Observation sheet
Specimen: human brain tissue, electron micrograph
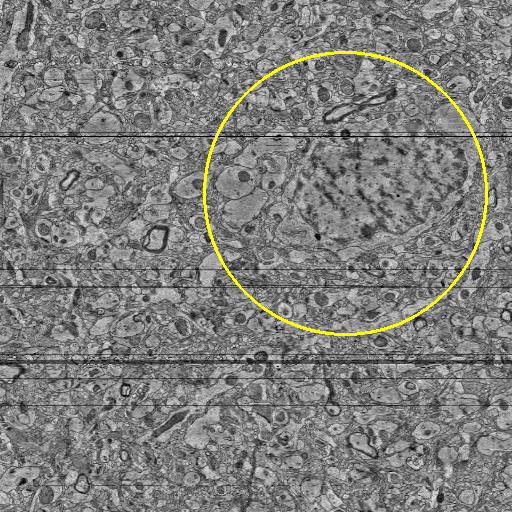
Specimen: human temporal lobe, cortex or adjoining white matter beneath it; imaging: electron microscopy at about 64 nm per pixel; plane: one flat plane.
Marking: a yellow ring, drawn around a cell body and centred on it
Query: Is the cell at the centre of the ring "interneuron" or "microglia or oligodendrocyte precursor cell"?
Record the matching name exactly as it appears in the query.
interneuron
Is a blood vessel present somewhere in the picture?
No, none is visible.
